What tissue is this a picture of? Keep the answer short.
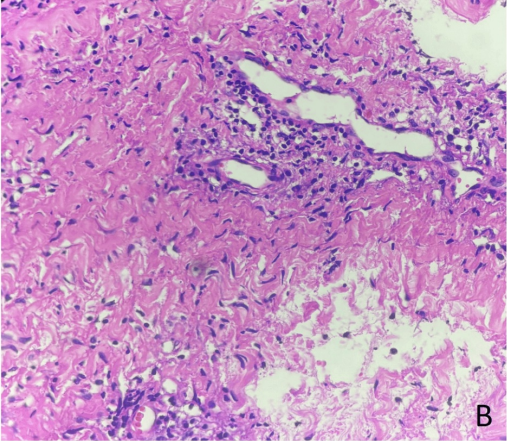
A: Fibrosis.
